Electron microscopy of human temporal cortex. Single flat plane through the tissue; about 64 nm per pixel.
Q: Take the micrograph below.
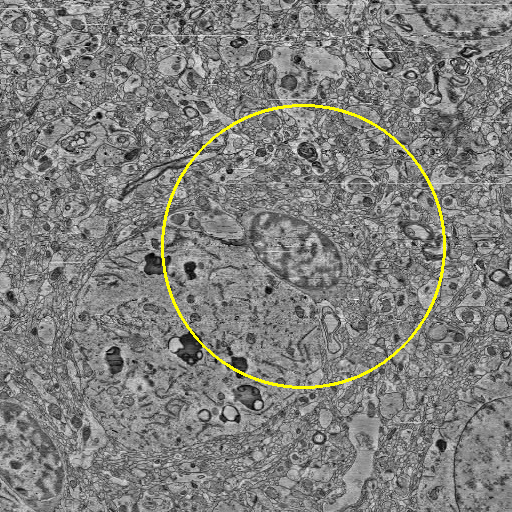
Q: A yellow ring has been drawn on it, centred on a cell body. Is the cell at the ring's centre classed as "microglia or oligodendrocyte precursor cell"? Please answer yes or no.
No, its kind is another one.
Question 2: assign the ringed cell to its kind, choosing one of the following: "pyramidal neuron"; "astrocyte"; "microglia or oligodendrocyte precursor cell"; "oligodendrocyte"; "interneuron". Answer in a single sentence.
The cell in question here is an oligodendrocyte.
